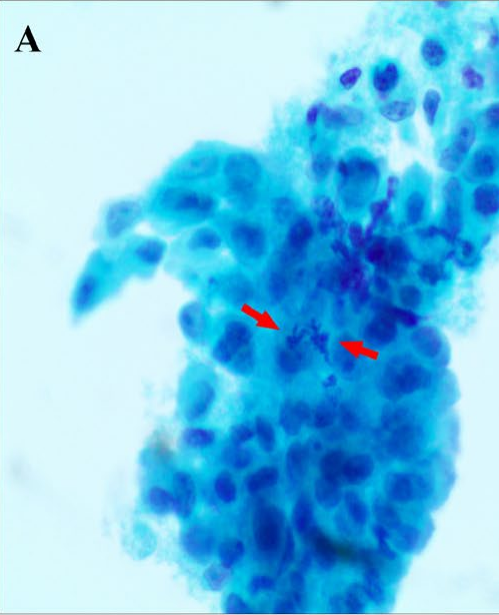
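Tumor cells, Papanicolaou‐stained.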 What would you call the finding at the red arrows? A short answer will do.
Atypical mitosis.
